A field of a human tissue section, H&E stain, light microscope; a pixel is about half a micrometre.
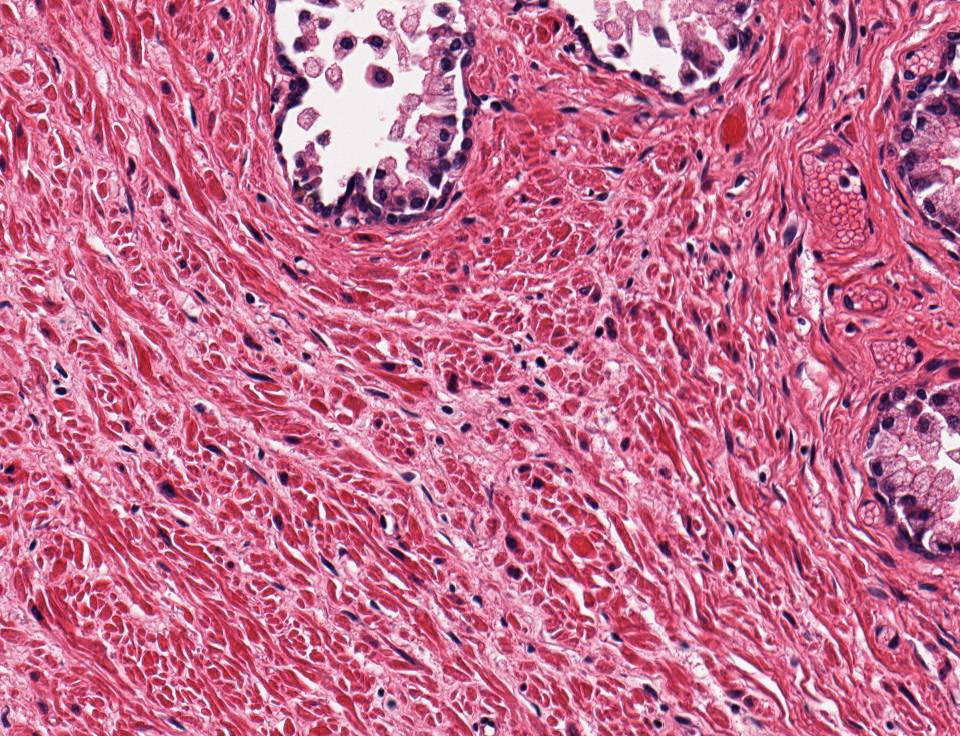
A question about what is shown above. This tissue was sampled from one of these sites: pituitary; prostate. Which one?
prostate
